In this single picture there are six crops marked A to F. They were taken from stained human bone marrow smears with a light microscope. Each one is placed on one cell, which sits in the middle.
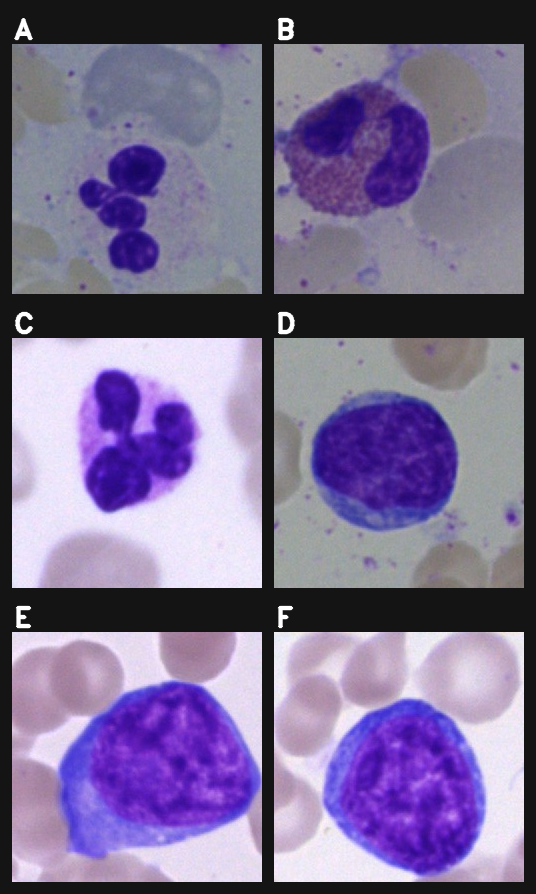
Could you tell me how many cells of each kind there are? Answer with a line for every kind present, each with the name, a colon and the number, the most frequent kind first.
blast: 3
segmented neutrophil: 2
eosinophil: 1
